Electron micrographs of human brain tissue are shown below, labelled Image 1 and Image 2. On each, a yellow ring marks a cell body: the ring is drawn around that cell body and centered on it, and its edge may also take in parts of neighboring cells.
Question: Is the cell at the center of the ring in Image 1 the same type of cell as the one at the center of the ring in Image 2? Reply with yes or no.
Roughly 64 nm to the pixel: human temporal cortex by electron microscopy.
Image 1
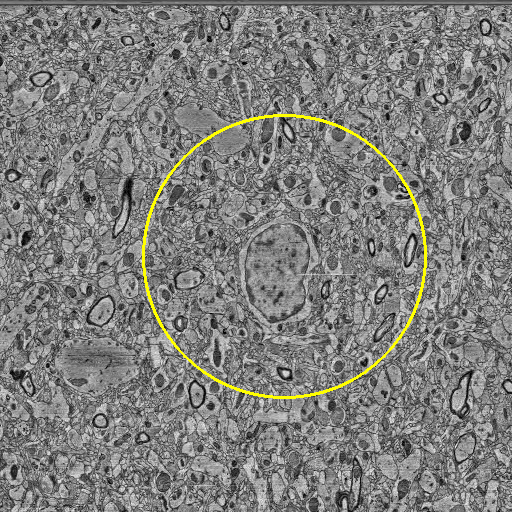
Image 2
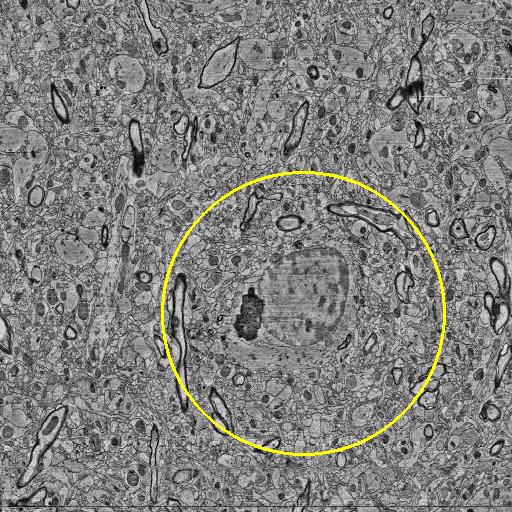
no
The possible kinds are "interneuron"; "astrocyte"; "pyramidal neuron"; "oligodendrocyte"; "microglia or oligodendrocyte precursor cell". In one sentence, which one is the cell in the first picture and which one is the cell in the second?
The cell ringed in the second picture is an oligodendrocyte, whereas the one ringed in the first is a microglial cell or oligodendrocyte precursor cell.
